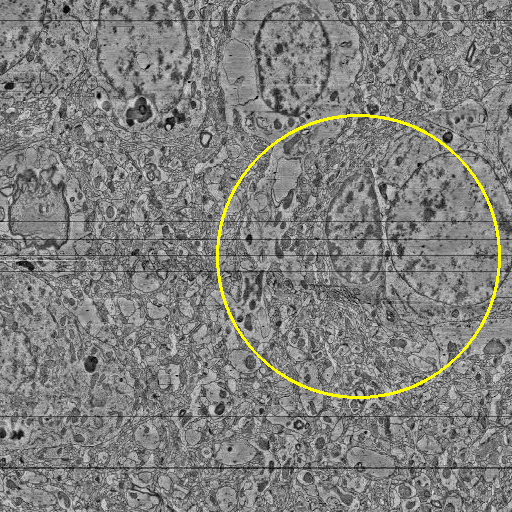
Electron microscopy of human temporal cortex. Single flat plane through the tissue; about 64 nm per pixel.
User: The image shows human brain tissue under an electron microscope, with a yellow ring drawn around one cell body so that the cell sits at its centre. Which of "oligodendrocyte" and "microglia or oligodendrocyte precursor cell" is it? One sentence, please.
At the centre of the ring sits an oligodendrocyte.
